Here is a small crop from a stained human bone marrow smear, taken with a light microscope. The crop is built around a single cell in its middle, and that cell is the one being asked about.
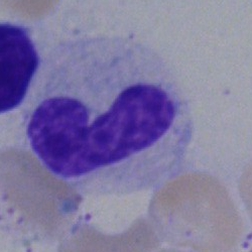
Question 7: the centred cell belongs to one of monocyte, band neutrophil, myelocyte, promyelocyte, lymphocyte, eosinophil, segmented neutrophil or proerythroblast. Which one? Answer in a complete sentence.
The cell occupying the middle of the crop is a band neutrophil.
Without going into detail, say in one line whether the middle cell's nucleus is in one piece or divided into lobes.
Round, oval or kidney-shaped, the nucleus is one compact mass.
